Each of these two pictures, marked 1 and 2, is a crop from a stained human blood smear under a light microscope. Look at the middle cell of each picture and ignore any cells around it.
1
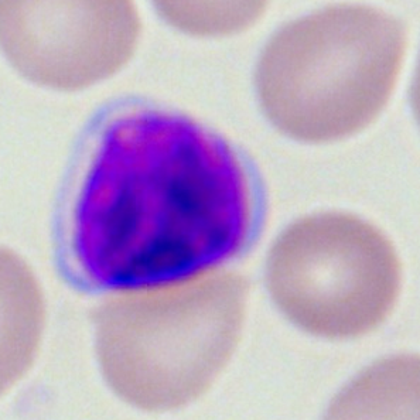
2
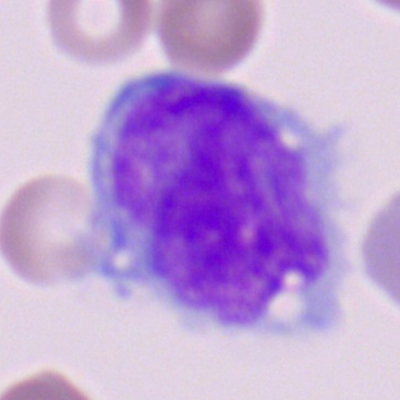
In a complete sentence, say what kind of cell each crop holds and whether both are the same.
No, the cell of interest in crop 1 is a lymphocyte, and in crop 2 it is a monocyte.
